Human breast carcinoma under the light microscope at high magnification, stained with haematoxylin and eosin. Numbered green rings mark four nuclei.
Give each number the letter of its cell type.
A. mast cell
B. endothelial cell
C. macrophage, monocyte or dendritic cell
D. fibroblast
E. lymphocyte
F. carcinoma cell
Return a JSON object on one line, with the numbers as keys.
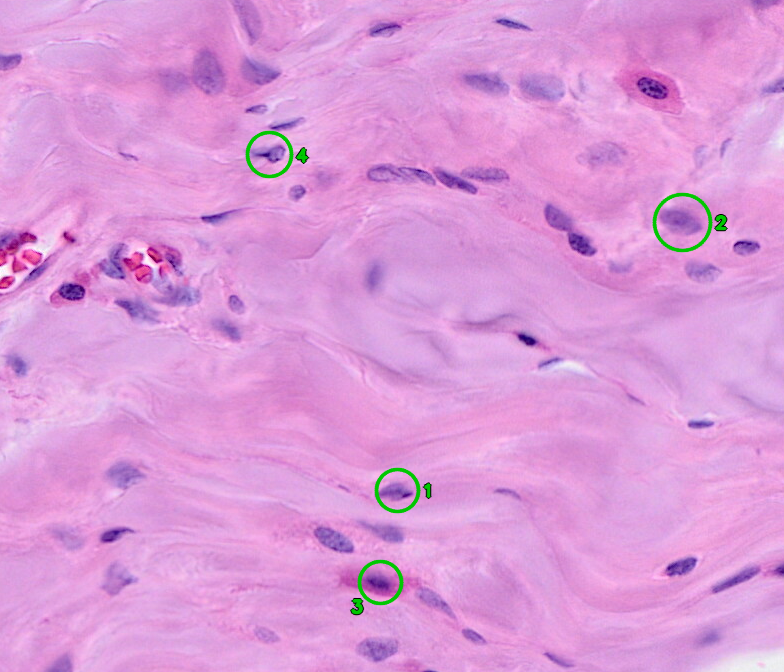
{"1": "D", "2": "D", "3": "A", "4": "D"}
